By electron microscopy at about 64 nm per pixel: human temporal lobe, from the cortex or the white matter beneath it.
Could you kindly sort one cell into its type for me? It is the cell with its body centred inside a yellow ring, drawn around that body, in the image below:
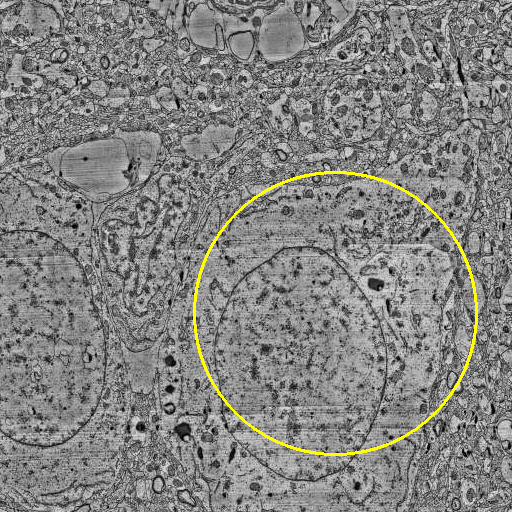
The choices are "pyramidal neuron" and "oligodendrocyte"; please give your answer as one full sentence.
The cell whose body lies centred in the yellow ring here is a pyramidal neuron.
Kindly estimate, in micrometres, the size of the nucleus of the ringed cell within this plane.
In this plane the nucleus measures roughly 15 by 11 micrometres.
